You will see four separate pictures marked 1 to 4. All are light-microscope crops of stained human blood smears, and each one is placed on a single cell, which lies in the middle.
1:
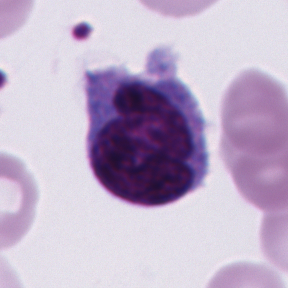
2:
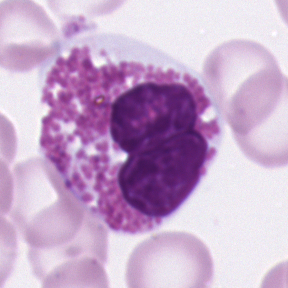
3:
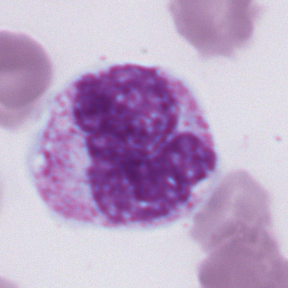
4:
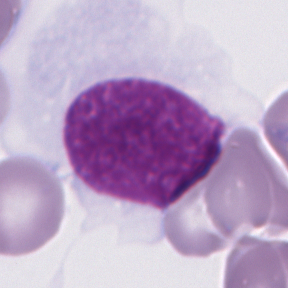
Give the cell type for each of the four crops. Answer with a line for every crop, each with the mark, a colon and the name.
1: monocyte
2: eosinophil
3: band neutrophil
4: hairy cell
